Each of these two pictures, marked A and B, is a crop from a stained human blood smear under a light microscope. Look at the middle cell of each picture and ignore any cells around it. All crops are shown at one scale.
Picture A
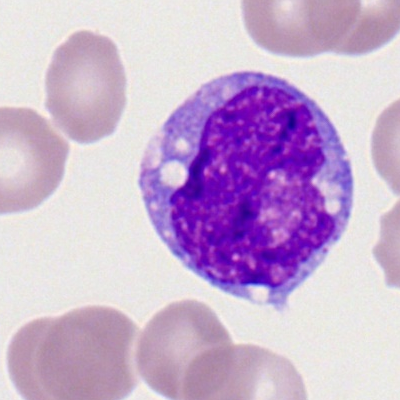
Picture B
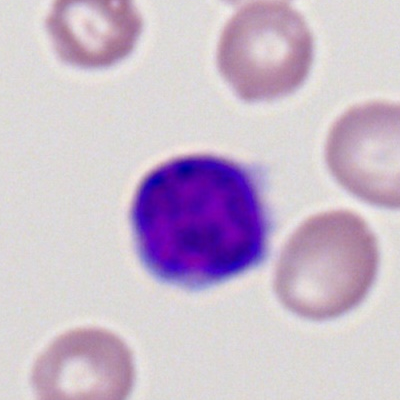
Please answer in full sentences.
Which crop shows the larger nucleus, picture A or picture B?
The nucleus in picture A is larger, with about 1.5 times the area of the one in picture B.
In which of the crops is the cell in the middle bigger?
Larger is the cell in picture A, at roughly 2 times the area of the other.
